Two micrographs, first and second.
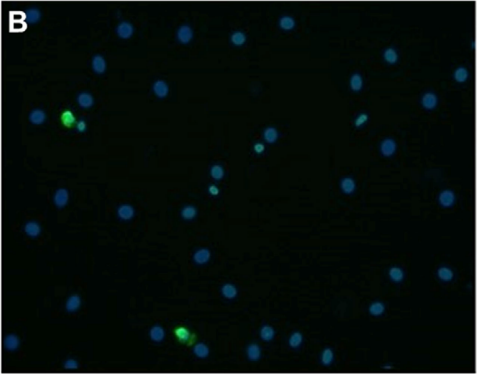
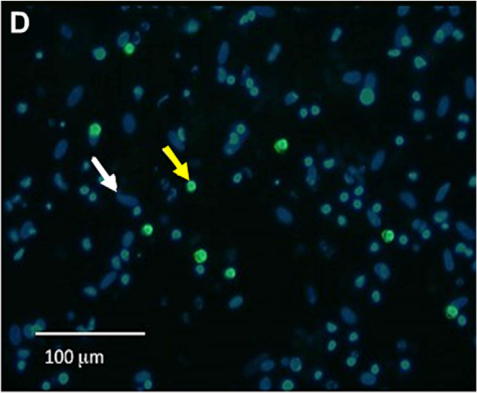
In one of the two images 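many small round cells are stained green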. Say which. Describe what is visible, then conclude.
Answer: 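Second image: numerous small round cells show green staining, crowded among large oval nuclei. First image: only a few green cells among sparse blue nuclei.
Conclusion: the second image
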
